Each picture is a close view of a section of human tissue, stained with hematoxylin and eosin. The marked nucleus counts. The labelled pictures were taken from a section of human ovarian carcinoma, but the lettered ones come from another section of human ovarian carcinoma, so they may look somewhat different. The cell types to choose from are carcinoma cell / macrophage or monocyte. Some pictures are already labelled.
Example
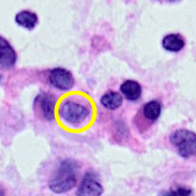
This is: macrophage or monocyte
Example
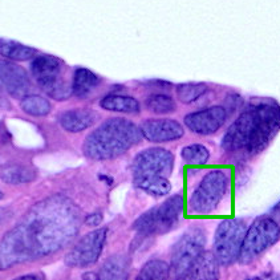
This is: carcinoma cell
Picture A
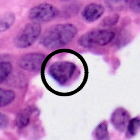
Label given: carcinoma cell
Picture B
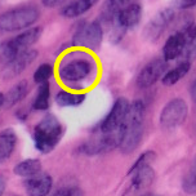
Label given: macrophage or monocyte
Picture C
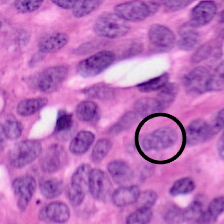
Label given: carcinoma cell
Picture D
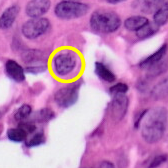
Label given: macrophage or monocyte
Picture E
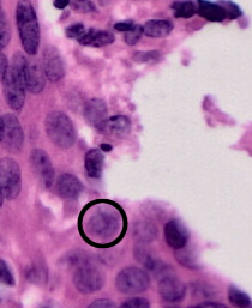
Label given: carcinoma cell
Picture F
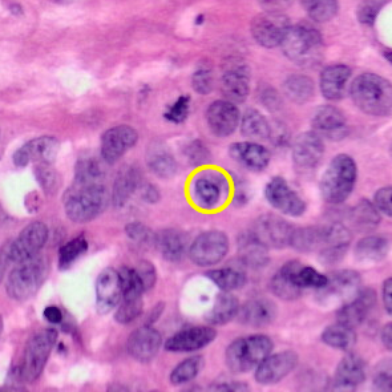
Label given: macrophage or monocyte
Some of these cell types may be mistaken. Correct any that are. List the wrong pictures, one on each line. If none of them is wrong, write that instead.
Nothing to fix; every label fits.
